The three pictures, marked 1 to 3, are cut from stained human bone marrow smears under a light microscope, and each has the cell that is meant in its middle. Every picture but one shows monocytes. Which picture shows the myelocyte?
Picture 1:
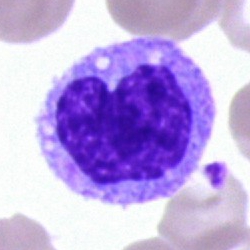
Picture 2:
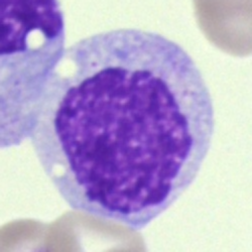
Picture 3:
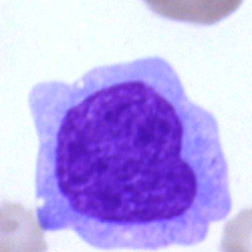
2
